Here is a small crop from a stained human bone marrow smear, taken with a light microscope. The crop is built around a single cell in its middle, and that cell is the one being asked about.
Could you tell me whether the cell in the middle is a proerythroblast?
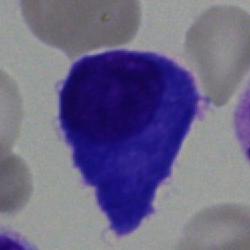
no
